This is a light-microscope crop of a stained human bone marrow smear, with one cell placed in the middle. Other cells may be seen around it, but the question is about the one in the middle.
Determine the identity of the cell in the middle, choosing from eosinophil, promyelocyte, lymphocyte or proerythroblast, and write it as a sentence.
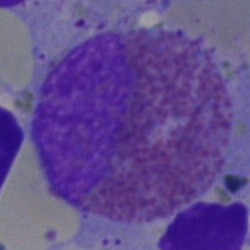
To answer, the cell in the center of the crop is an eosinophil.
